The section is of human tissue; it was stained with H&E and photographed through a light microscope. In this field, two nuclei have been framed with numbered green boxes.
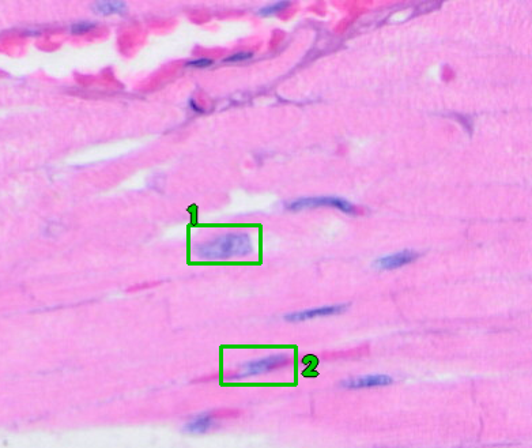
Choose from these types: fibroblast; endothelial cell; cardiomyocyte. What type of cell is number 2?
endothelial cell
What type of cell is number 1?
cardiomyocyte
